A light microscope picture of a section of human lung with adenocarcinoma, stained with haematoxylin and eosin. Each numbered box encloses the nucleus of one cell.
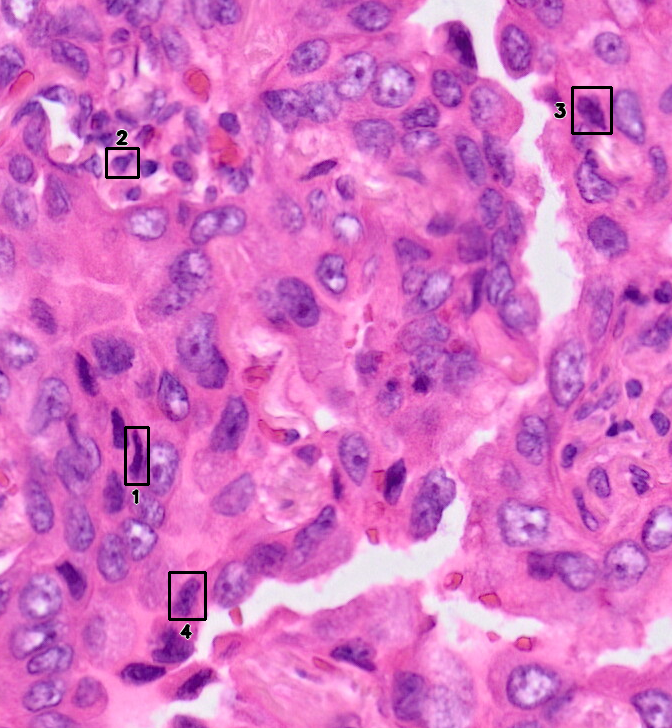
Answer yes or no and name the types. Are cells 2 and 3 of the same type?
No, the correct reading has cell 2 as a lymphocyte and cell 3 as a carcinoma cell.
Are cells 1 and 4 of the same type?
Yes, in this section cells 1 and 4 are both carcinoma cells.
